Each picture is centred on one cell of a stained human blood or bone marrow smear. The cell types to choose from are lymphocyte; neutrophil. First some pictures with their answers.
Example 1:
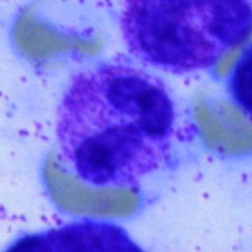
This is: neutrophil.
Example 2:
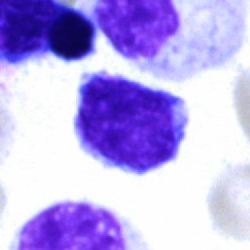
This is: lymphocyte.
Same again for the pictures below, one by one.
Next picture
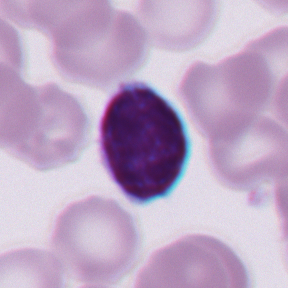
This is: lymphocyte.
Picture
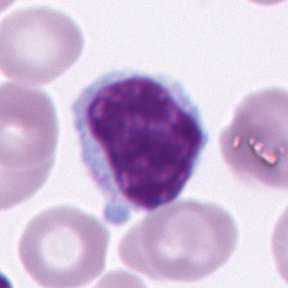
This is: lymphocyte.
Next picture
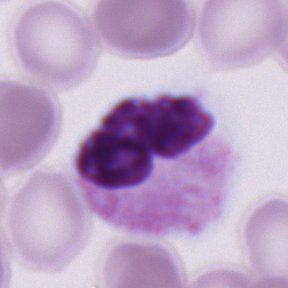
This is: neutrophil.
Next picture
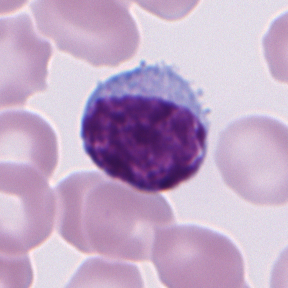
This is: lymphocyte.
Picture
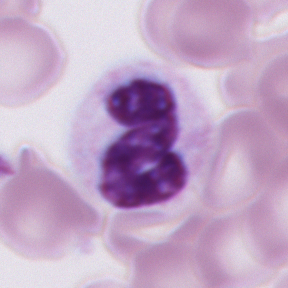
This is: neutrophil.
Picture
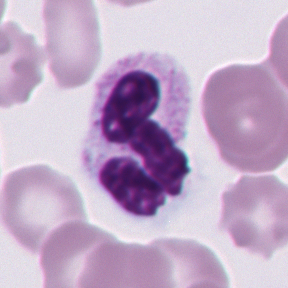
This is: neutrophil.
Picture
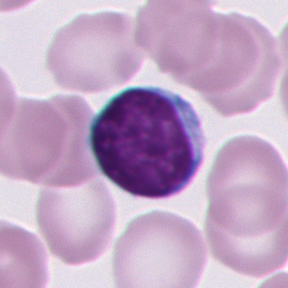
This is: lymphocyte.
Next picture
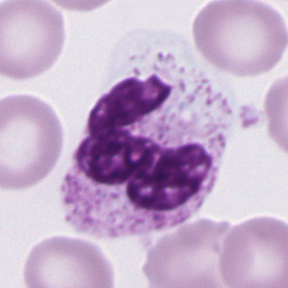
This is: neutrophil.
